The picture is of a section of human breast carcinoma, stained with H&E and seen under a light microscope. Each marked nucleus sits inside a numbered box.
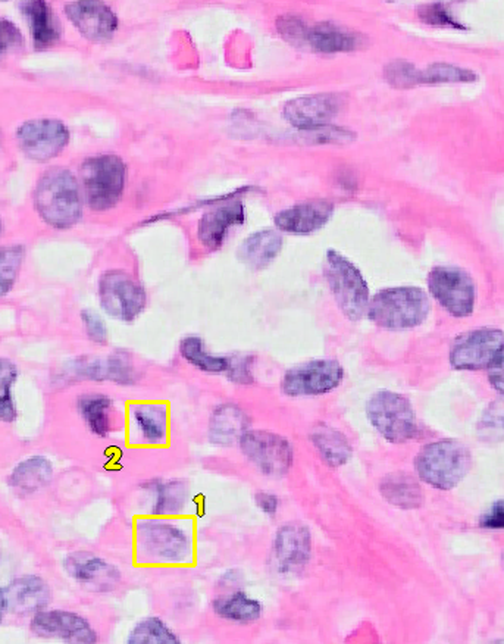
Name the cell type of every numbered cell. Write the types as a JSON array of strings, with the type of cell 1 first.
["carcinoma cell", "endothelial cell"]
